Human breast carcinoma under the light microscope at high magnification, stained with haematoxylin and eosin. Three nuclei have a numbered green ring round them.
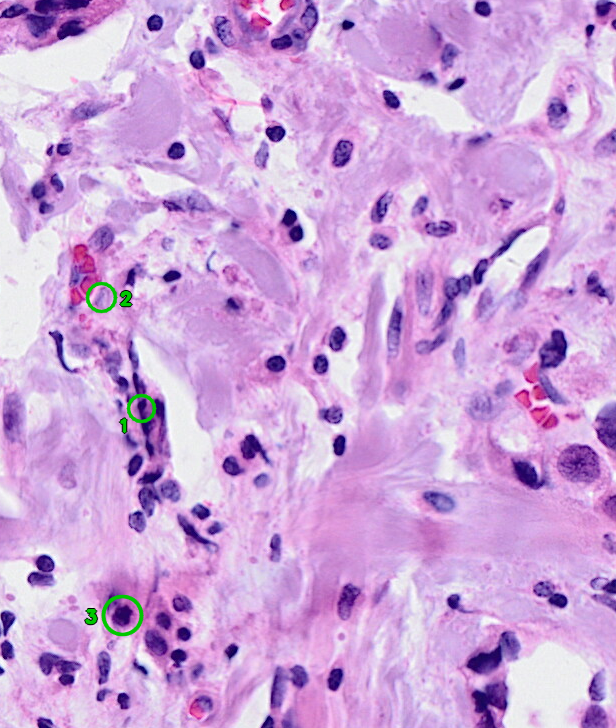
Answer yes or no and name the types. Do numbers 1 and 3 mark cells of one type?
Yes, cells 1 and 3 are lymphocytes, both of them.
